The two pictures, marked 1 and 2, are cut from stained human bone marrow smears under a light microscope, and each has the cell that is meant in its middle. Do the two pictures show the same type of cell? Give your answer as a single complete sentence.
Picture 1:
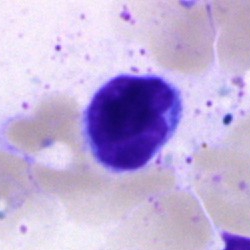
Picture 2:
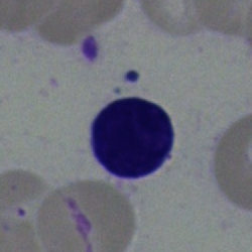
Yes, both cells are lymphocytes.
